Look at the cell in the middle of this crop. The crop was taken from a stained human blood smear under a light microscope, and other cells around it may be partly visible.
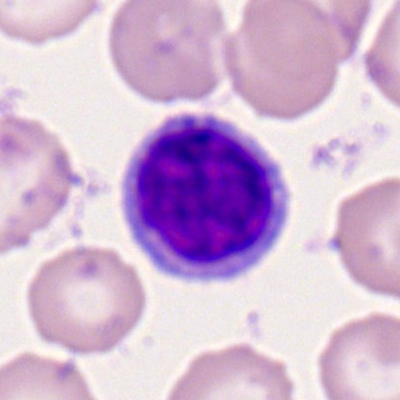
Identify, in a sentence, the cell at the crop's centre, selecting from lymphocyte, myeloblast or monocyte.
The cell centred in this crop is categorized as a lymphocyte.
